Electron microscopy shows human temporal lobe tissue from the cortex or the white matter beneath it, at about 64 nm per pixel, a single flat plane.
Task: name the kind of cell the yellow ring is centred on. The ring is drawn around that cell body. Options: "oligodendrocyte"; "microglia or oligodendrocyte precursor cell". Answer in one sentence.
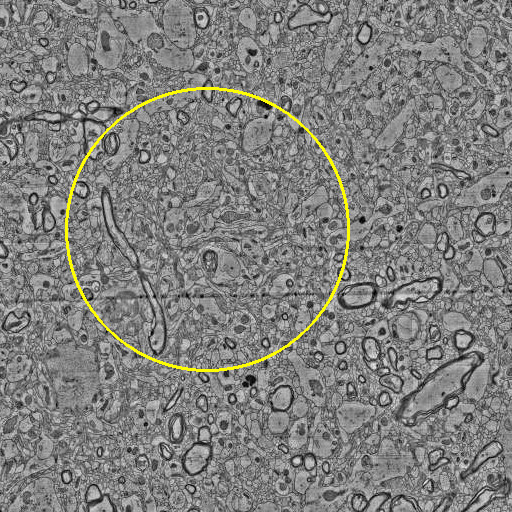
This cell body belongs to an oligodendrocyte.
